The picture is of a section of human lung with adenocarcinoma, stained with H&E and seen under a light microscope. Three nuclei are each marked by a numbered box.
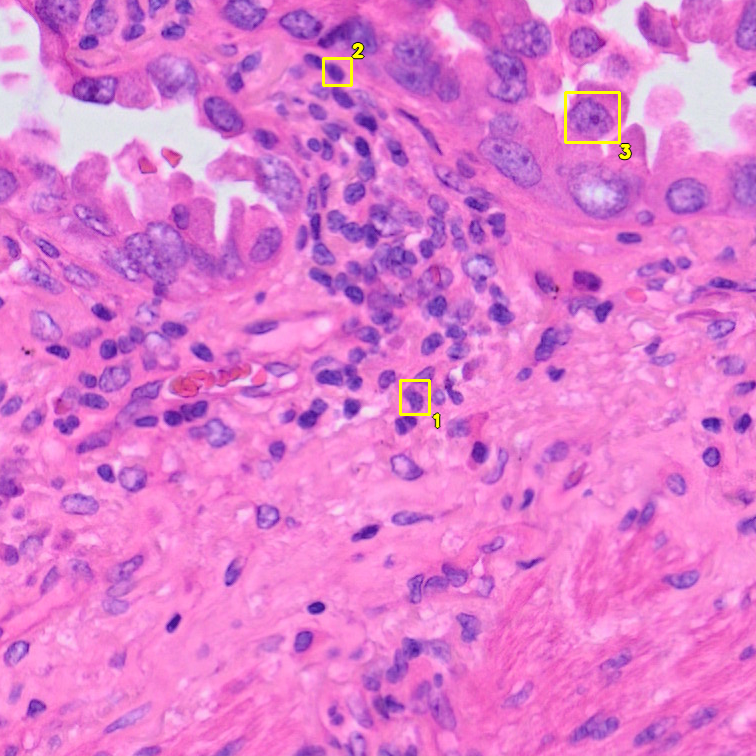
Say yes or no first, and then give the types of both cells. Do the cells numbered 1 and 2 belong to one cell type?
Yes, it is as lymphocytes that cells 1 and 2 are both classified.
